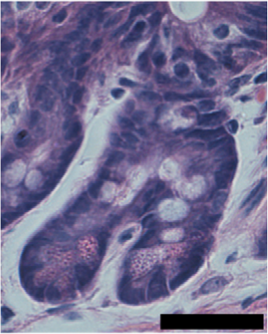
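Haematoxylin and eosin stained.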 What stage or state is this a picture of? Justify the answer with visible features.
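Dividing crypt. A single crypt epithelium forms two rounded bases side by side. A fold of epithelium rises from the bottom and splits the crypt lumen in two.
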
